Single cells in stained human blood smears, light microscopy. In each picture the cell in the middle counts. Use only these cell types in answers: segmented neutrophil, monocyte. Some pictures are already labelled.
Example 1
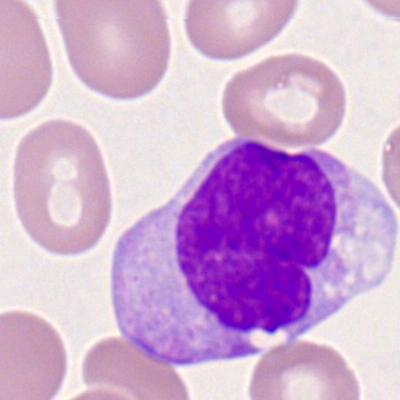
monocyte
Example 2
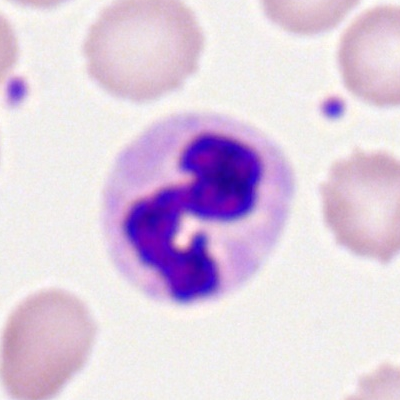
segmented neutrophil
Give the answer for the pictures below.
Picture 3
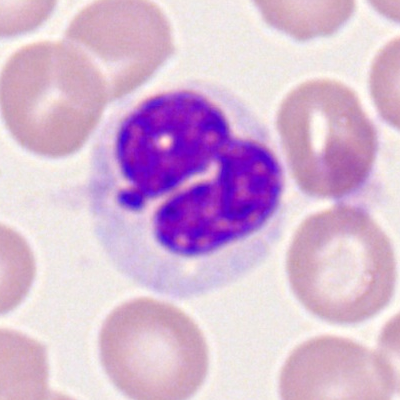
segmented neutrophil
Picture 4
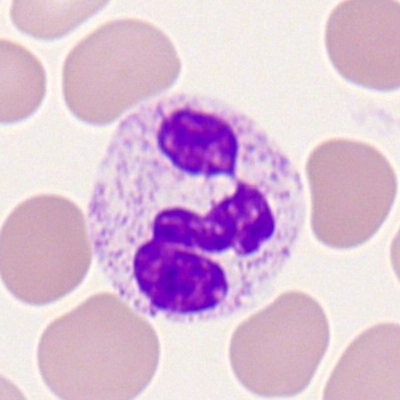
segmented neutrophil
